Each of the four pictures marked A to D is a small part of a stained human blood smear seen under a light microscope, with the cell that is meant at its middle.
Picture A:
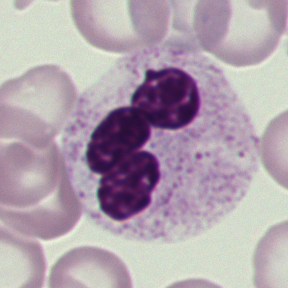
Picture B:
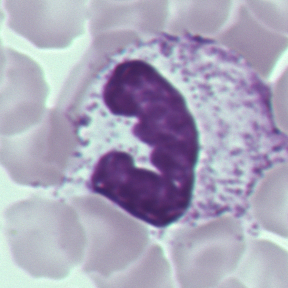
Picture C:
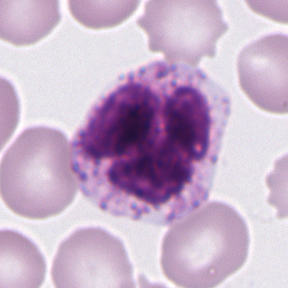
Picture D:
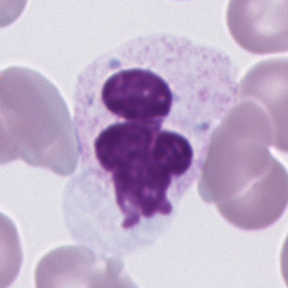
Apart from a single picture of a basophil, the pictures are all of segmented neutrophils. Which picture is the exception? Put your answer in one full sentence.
Picture C is the one that shows the basophil.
